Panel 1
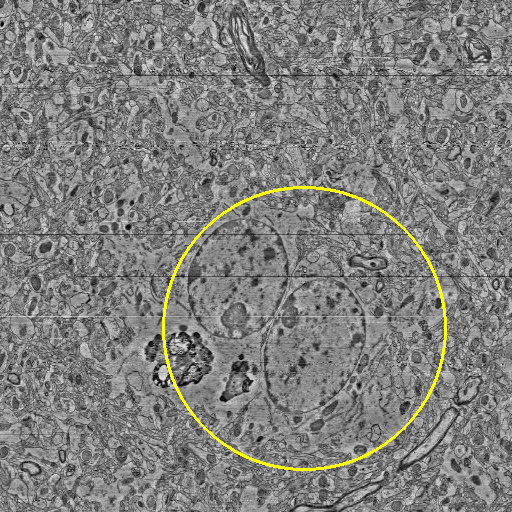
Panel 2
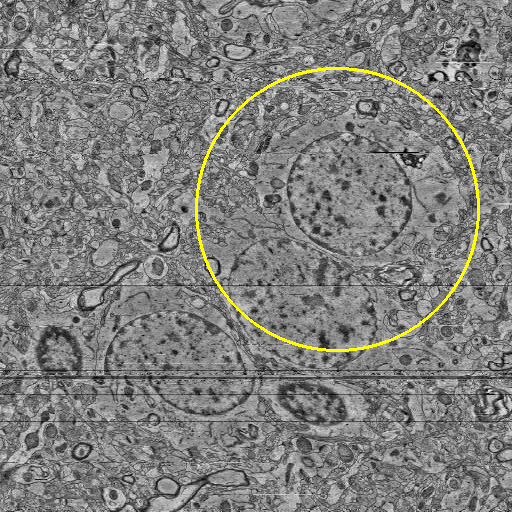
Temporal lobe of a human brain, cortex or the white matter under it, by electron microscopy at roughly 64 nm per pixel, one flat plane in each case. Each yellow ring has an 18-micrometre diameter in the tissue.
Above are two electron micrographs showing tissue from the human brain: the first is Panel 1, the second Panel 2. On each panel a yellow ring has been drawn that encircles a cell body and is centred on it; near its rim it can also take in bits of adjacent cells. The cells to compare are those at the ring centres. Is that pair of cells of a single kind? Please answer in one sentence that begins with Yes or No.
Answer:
Yes, the ring-centred cells of Panel 1 and Panel 2 belong to one kind.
